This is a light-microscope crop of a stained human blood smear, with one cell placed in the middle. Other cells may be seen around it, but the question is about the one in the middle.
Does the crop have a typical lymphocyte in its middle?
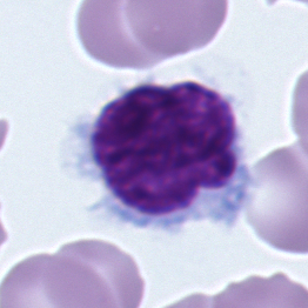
no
